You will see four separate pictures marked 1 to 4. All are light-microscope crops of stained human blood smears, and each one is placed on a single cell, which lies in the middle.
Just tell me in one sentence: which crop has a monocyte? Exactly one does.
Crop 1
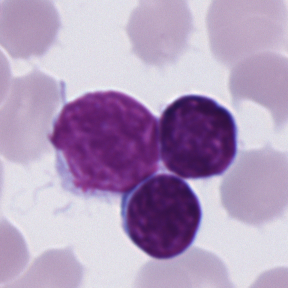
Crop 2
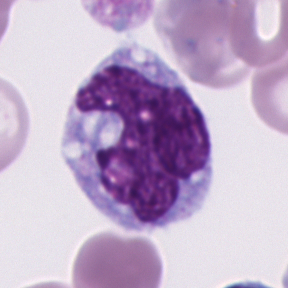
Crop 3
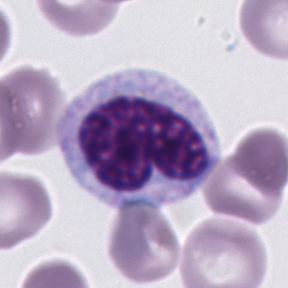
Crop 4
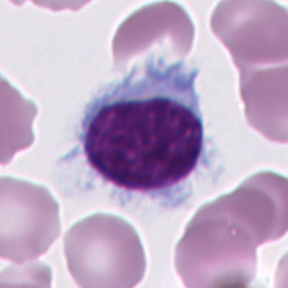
The crop showing a monocyte in this series is crop 2.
